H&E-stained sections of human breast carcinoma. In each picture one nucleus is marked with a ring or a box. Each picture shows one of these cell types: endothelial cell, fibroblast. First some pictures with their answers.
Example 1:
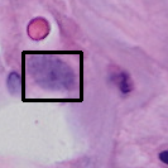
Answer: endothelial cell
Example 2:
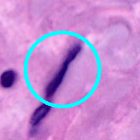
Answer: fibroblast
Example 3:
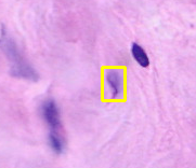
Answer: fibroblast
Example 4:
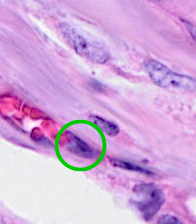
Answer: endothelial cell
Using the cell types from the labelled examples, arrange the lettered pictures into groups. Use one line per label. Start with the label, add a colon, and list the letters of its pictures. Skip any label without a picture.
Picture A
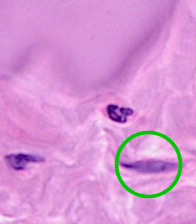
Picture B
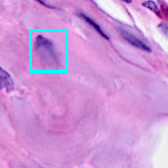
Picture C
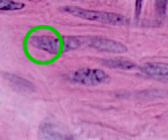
endothelial cell: C
fibroblast: A, B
